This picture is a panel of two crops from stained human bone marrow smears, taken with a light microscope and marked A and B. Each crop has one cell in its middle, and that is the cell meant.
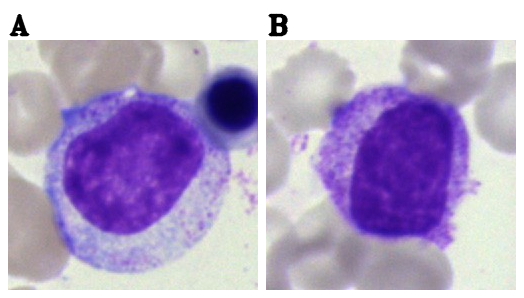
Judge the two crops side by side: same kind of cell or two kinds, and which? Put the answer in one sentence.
Yes, the central cells in both of the crops are myelocytes.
